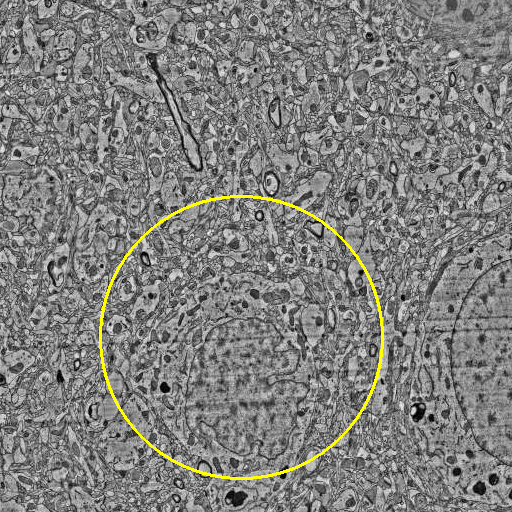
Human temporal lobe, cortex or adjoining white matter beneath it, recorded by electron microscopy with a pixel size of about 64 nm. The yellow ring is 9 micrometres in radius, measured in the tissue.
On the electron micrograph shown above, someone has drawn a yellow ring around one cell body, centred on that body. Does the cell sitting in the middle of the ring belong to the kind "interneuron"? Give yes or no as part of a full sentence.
Yes, the cell located in the middle of the ring in the micrograph is of that kind.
